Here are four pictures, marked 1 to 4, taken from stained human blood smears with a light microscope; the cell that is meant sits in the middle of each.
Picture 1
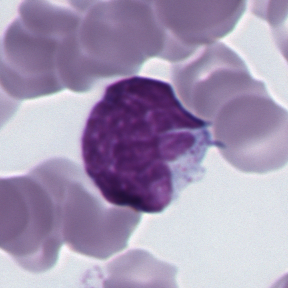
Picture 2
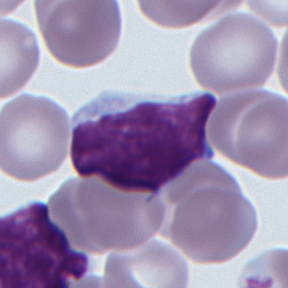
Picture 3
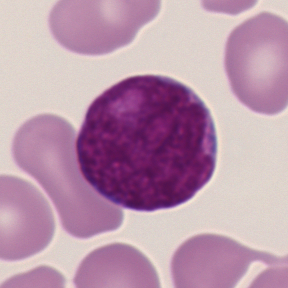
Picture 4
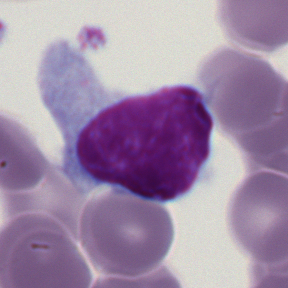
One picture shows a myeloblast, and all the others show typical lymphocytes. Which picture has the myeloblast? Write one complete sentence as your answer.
The myeloblast is the one in picture 3.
